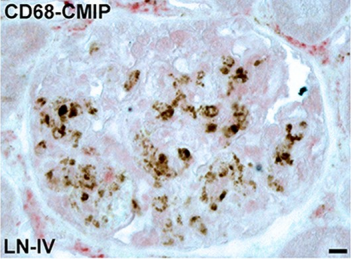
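Numerous brown-stained cells lie scattered through the tuft, many of them rounded with coarse, granular brown cytoplasm, in keeping with infiltrating macrophages. Little red stain is seen in these brown cells, and the surrounding tuft tissue is pale pink.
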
